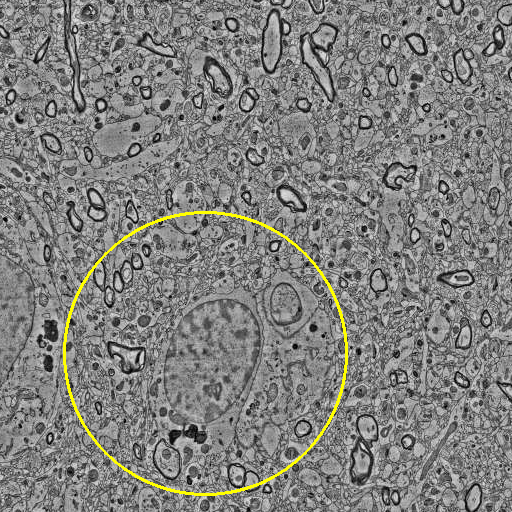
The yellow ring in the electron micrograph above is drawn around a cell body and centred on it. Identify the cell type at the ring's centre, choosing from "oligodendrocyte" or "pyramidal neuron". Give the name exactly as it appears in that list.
oligodendrocyte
